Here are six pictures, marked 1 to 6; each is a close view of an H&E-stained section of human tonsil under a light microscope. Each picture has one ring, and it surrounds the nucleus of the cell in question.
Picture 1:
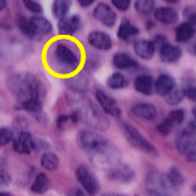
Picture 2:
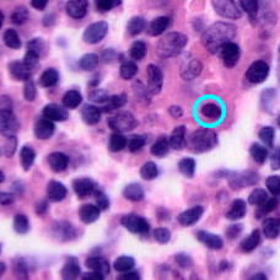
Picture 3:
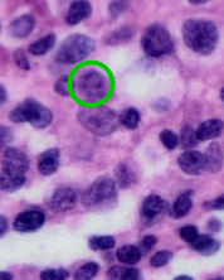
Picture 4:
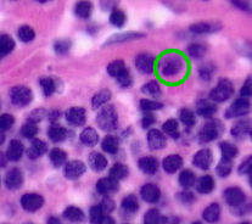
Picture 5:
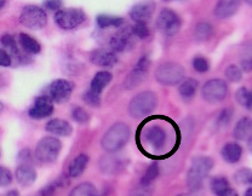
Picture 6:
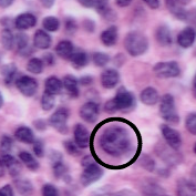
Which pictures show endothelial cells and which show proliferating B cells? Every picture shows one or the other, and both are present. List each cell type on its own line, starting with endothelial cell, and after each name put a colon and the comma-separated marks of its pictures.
endothelial cell: 1, 2, 4, 5
proliferating B cell: 3, 6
